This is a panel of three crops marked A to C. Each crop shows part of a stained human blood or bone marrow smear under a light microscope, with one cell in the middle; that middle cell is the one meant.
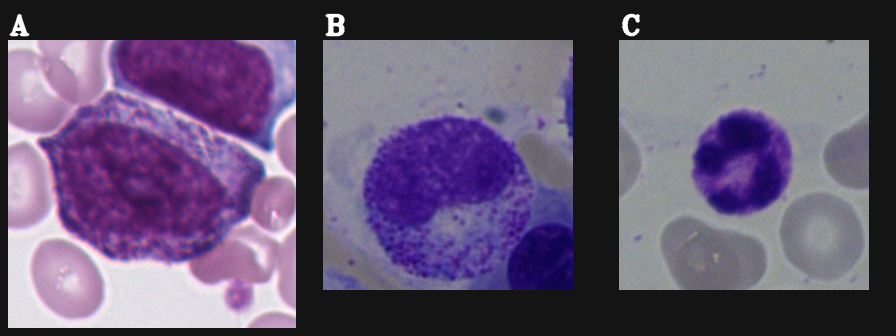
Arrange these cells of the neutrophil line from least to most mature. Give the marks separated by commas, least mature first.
A, B, C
